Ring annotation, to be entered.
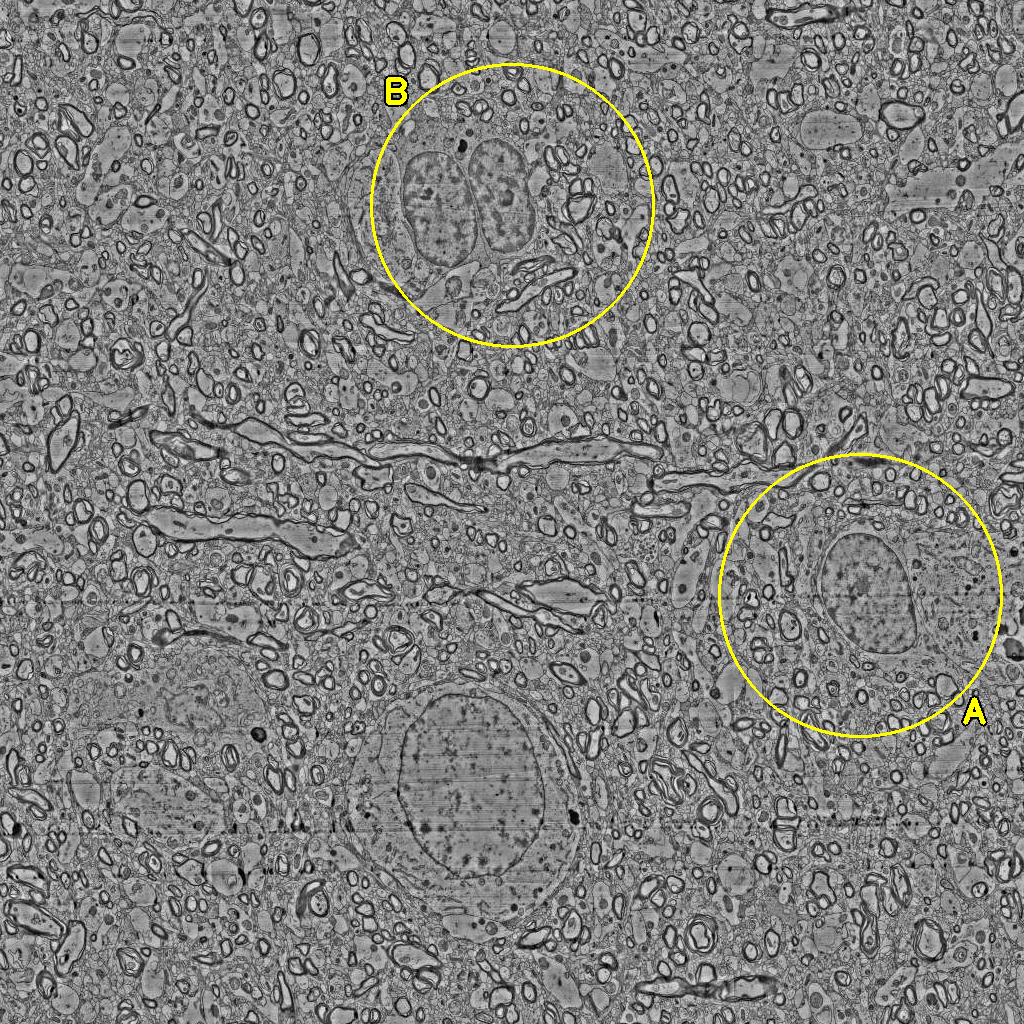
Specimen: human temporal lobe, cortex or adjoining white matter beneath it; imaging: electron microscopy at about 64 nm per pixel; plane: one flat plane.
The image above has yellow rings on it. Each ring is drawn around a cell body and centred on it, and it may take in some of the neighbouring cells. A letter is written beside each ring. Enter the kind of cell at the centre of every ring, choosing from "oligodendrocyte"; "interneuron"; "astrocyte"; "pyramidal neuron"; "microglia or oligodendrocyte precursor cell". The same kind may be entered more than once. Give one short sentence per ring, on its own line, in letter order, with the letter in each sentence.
The ring marked A is centred on a microglial cell or oligodendrocyte precursor cell.
The ring marked B is centred on an oligodendrocyte.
